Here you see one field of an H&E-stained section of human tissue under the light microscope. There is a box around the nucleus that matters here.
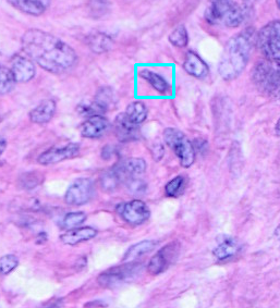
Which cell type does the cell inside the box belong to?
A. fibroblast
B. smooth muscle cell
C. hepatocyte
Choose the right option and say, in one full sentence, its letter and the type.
Option A is the one that fits, as the cell inside the box is a fibroblast.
